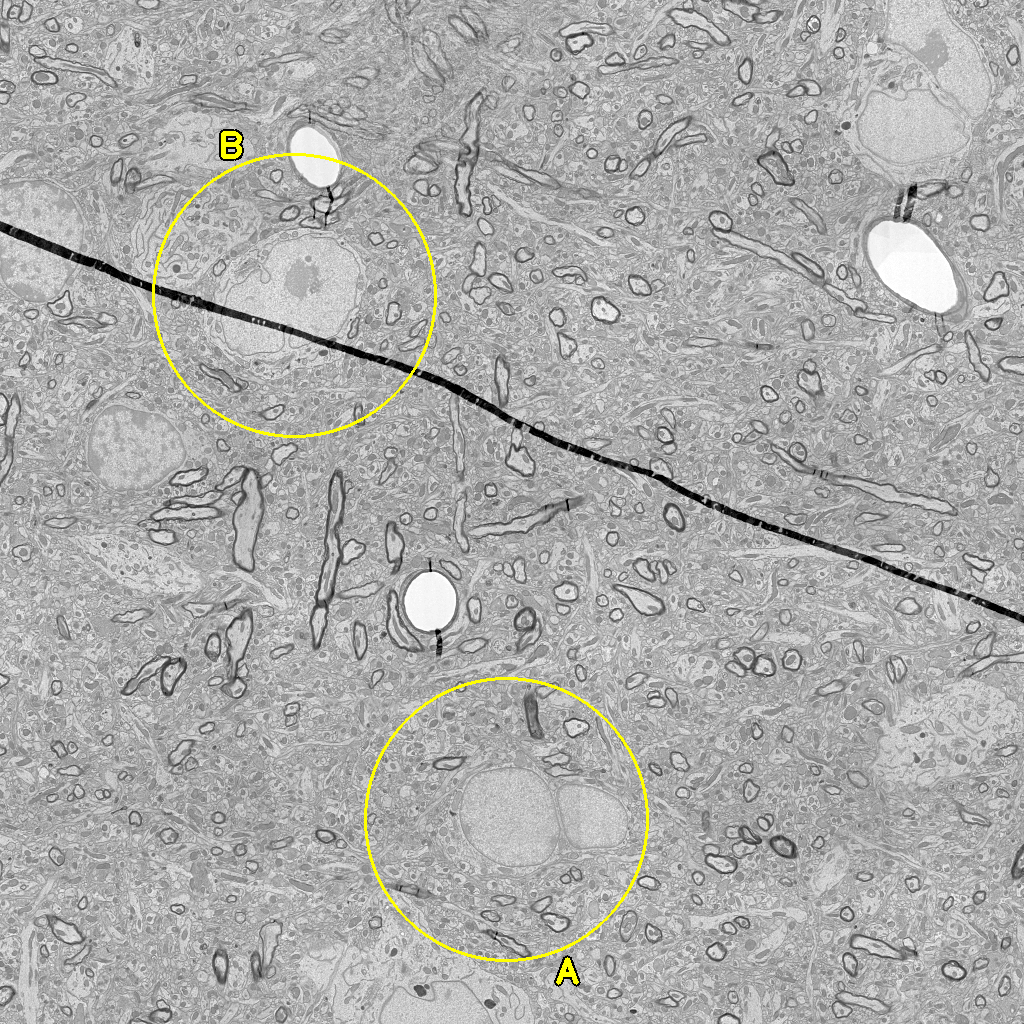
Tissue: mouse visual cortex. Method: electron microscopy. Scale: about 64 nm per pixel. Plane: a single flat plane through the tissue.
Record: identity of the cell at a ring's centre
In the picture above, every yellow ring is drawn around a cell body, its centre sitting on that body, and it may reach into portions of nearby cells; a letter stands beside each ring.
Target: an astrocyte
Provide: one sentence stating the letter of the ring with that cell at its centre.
The letter of the ring centred on a cell of that kind is A.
